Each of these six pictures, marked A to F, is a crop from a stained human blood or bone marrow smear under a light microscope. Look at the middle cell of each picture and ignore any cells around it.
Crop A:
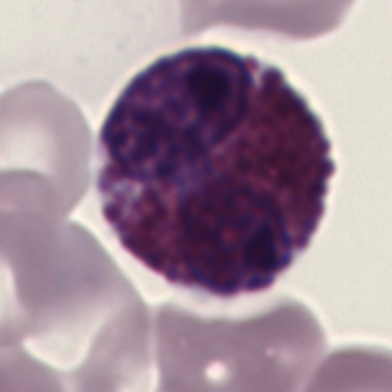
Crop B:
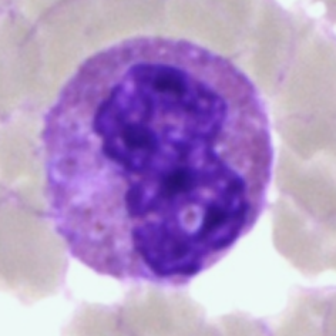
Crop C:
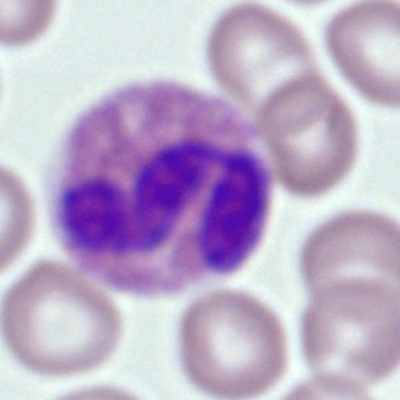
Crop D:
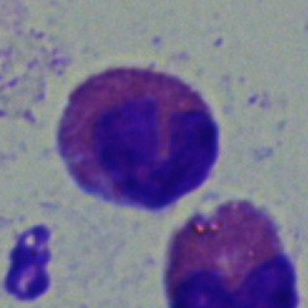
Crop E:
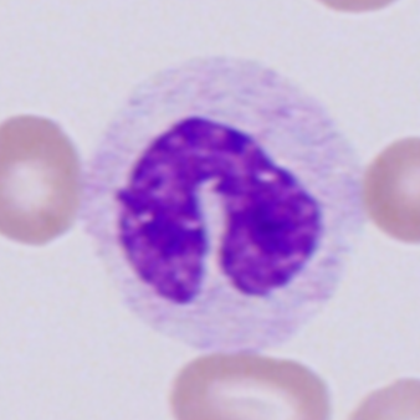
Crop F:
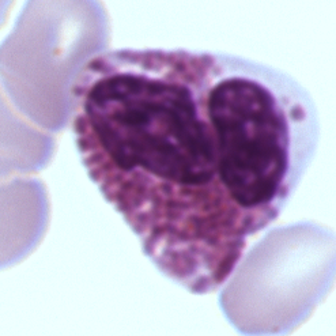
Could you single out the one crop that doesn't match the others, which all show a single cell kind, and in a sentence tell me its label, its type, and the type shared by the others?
Whereas the other crops all show eosinophils, crop E shows a band neutrophil.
